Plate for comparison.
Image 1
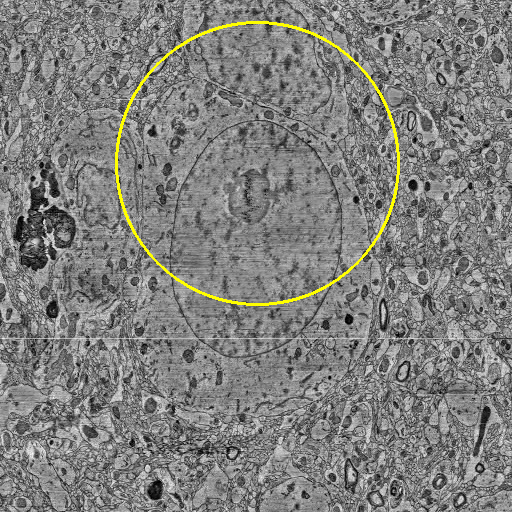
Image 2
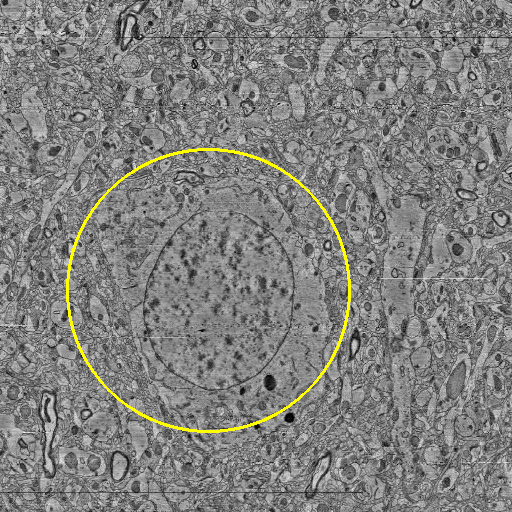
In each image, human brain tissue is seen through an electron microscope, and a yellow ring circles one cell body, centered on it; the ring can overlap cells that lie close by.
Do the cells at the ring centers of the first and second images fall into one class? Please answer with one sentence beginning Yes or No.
Yes, the first and second images show a single class of cell at the ring centers.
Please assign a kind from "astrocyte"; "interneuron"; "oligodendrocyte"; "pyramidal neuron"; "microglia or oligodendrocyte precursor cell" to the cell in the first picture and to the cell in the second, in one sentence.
The ring centre holds a pyramidal neuron in each of the two pictures.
